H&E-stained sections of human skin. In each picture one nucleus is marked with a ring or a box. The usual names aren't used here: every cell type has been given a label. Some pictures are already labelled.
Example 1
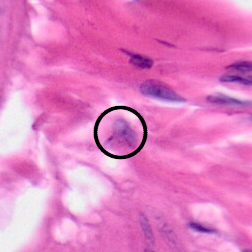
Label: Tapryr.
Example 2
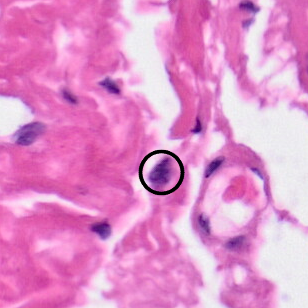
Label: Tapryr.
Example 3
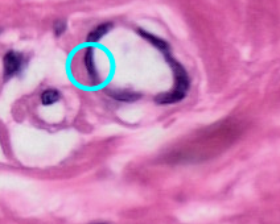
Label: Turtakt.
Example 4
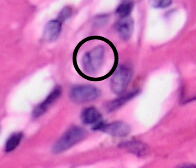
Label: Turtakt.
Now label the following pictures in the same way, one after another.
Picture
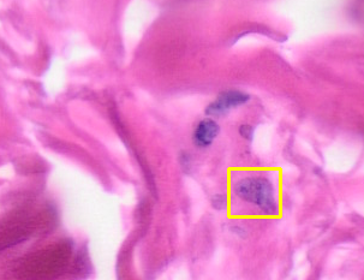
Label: Tapryr.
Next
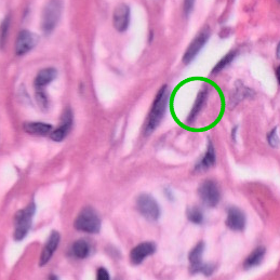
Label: Turtakt.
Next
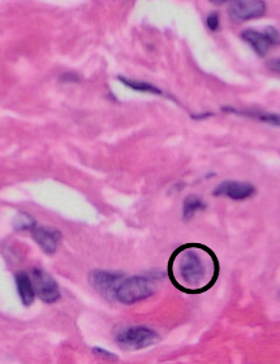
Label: Turtakt.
